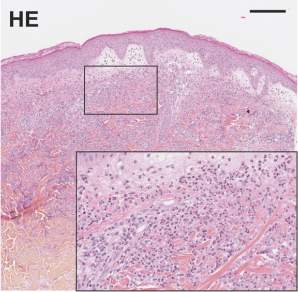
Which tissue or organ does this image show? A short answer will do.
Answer: skin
